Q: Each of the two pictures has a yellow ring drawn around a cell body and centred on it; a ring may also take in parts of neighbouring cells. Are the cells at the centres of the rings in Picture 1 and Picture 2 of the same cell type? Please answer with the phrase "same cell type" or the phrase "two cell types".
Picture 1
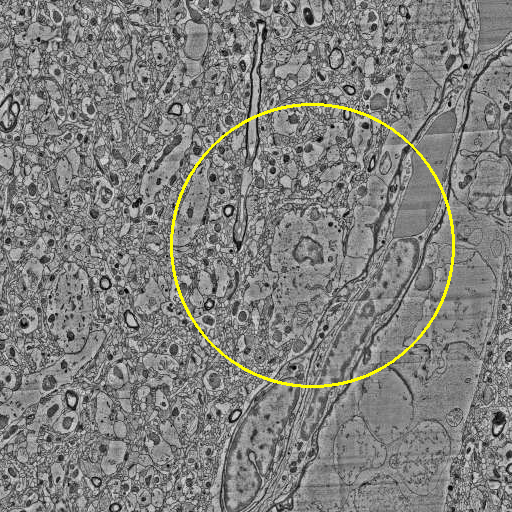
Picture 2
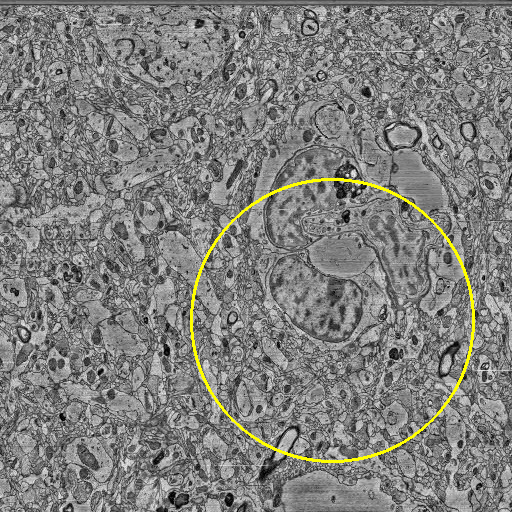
two cell types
